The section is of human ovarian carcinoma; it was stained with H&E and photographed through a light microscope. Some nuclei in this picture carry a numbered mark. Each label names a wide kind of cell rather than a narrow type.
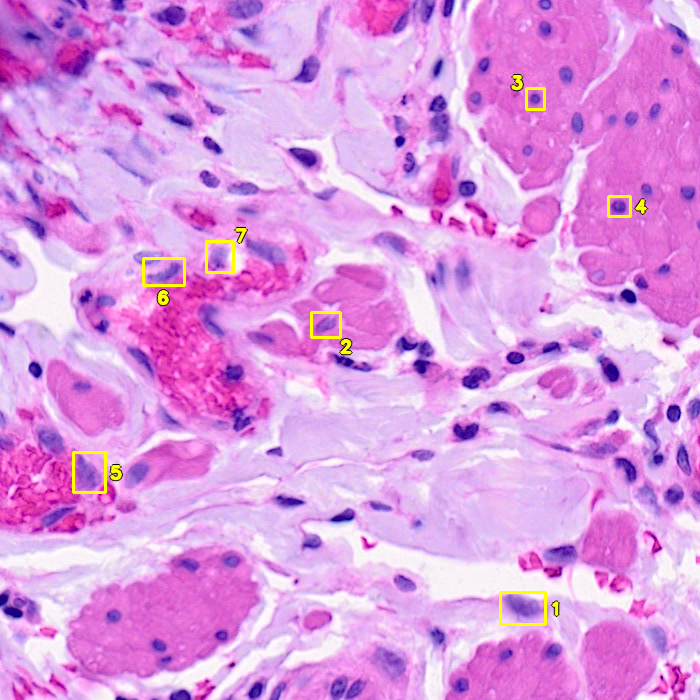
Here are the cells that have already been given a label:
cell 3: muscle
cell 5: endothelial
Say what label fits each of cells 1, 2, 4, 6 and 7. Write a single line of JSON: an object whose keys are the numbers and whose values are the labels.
{"1": "endothelial", "2": "muscle", "4": "muscle", "6": "endothelial", "7": "endothelial"}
